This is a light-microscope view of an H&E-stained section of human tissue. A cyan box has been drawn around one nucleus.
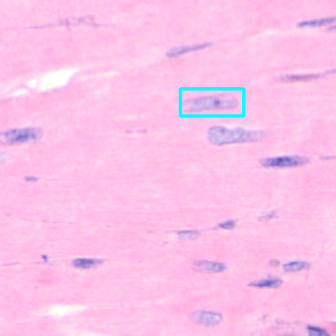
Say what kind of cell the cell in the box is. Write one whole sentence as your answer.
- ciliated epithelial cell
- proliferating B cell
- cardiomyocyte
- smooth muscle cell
The cell in the box is a cardiomyocyte.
